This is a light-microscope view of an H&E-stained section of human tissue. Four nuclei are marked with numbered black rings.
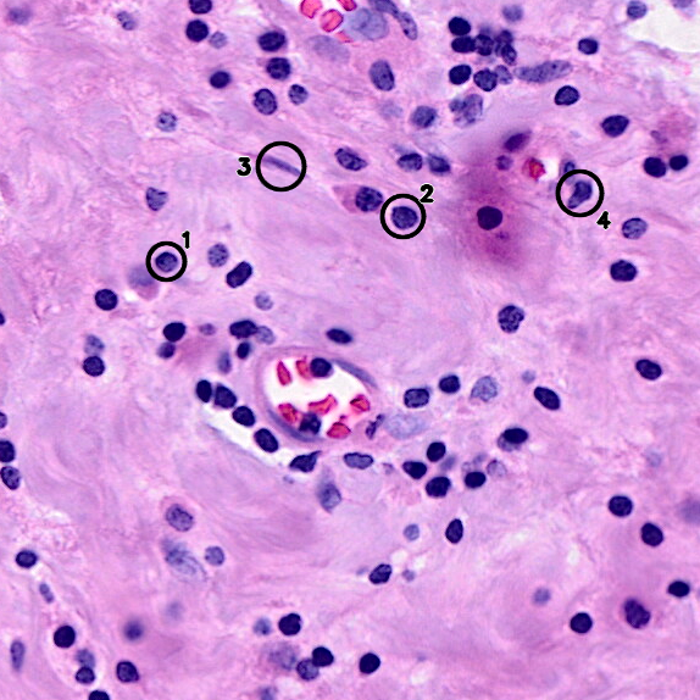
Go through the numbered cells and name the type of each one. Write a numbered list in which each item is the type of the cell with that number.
1. lymphocyte
2. lymphocyte
3. fibroblast
4. lymphocyte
